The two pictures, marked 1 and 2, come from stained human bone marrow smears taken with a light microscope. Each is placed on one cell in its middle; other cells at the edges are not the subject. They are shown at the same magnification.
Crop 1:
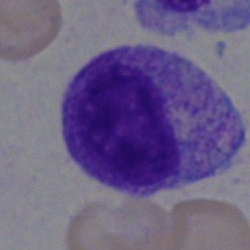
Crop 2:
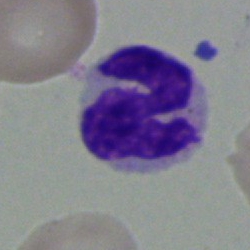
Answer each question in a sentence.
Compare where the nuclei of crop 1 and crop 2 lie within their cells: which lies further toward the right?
The nucleus in crop 2 lies further toward the right of its cell.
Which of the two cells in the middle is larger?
Larger is the cell in crop 1, at roughly 1.5 times the area of the other.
